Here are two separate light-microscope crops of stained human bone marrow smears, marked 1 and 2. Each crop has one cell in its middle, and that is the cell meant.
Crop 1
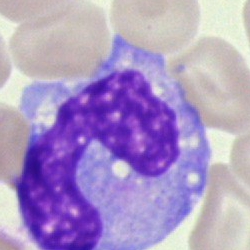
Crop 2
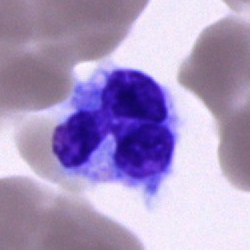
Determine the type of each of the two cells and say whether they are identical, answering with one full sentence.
Yes, both crops show monocytes, each crop centred on one of them.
